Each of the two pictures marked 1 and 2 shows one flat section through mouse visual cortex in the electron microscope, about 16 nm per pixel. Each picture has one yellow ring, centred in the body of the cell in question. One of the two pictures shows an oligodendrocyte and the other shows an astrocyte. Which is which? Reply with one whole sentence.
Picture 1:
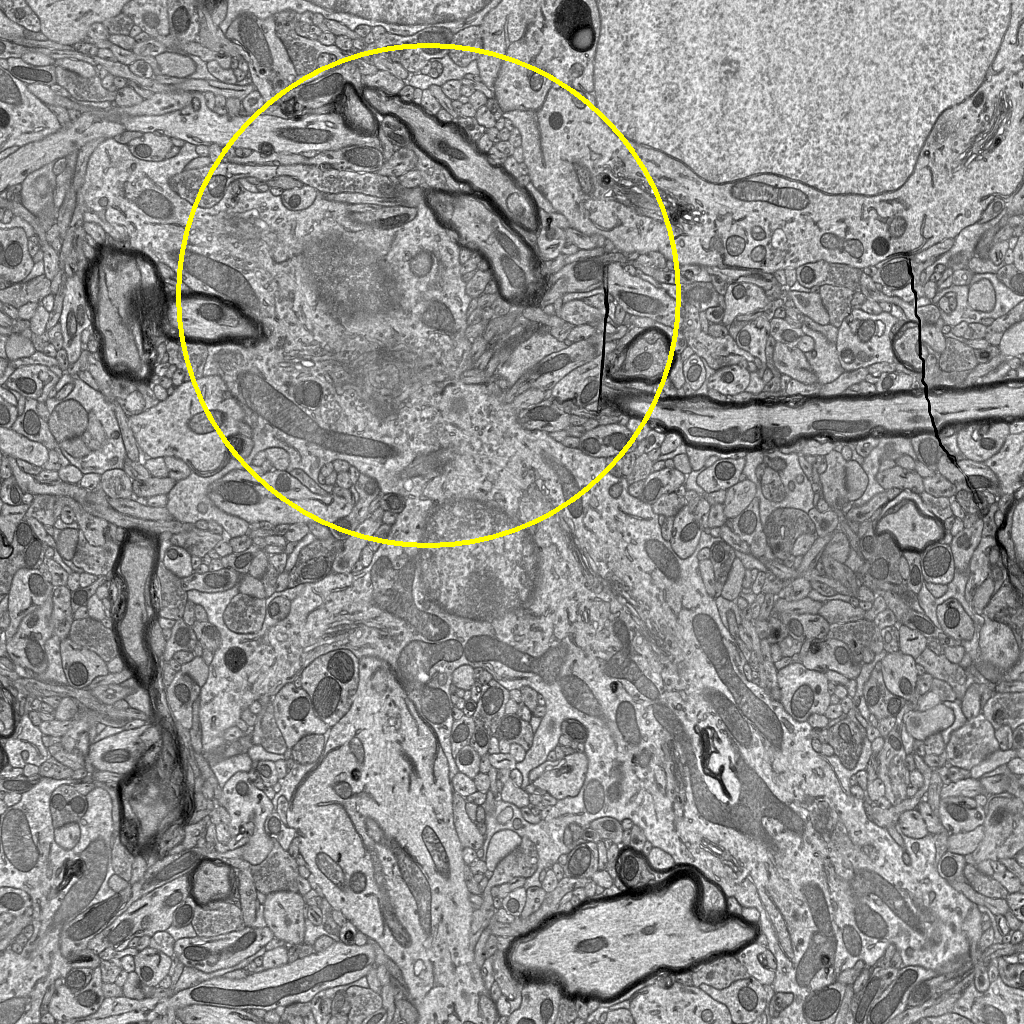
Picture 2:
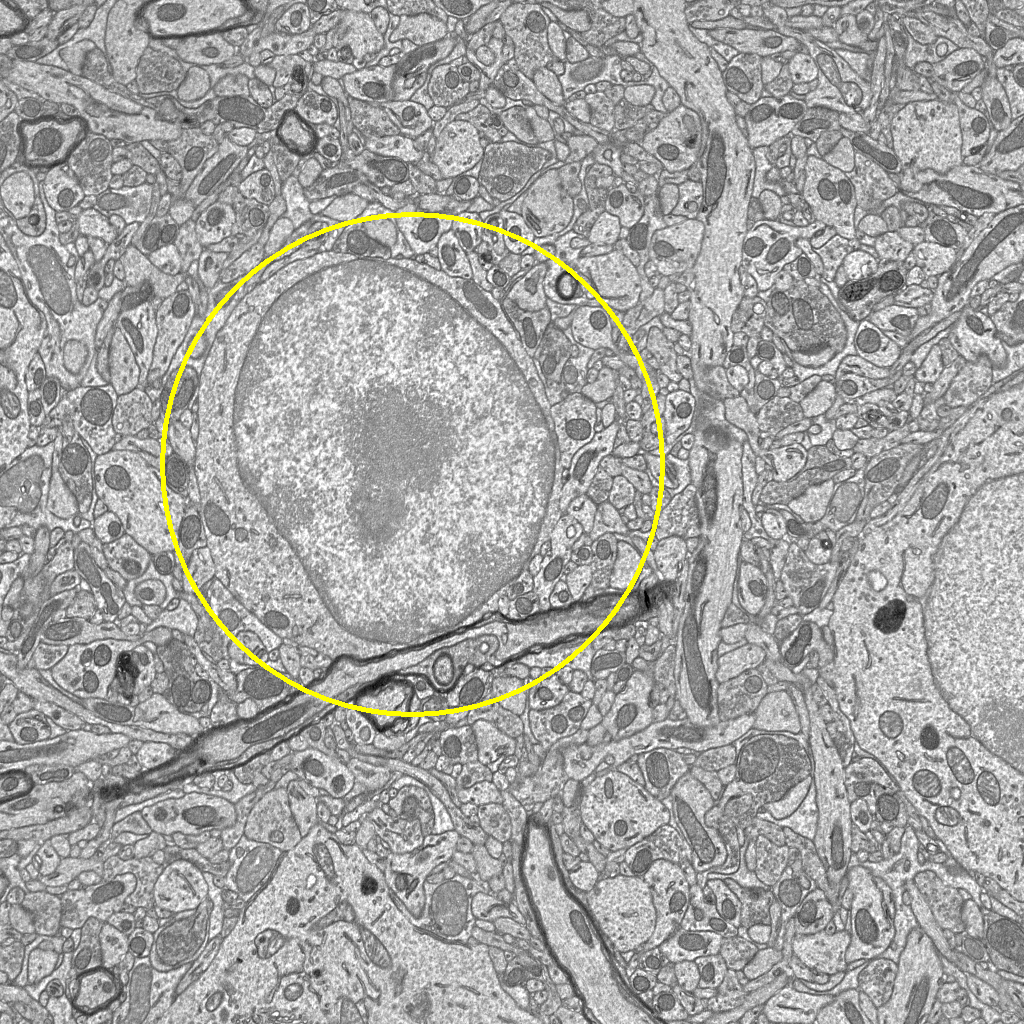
Picture 1 shows an astrocyte and picture 2 shows an oligodendrocyte.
